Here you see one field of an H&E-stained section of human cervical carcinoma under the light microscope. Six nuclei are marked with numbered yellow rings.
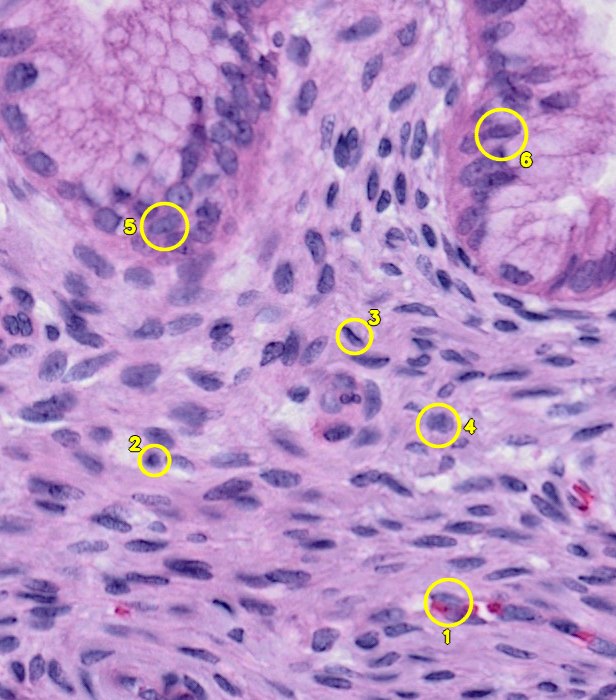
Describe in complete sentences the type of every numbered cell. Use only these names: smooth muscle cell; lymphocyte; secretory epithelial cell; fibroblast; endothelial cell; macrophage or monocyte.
Cell 1 is an endothelial cell, cell 2 is a lymphocyte, cell 3 is a fibroblast, cell 4 is a fibroblast, cell 5 is a secretory epithelial cell and cell 6 is a secretory epithelial cell.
